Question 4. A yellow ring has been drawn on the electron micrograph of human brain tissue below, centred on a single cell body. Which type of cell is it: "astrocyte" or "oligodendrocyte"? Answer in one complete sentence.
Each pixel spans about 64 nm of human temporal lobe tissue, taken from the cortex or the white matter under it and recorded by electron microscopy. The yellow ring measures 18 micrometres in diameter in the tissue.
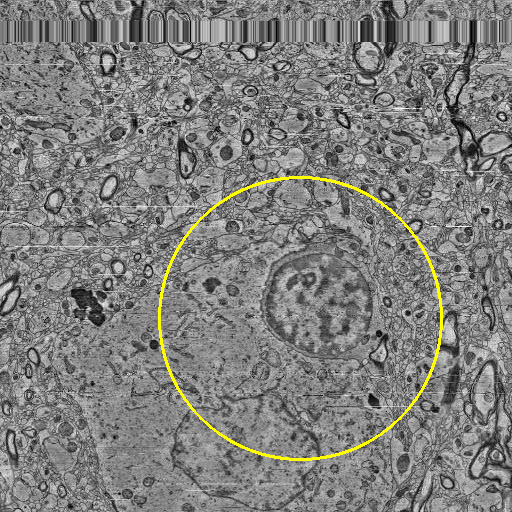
This cell body belongs to an oligodendrocyte.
